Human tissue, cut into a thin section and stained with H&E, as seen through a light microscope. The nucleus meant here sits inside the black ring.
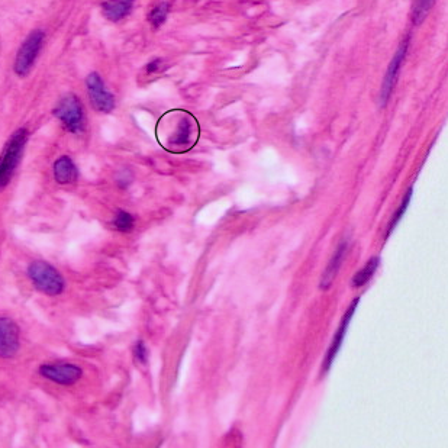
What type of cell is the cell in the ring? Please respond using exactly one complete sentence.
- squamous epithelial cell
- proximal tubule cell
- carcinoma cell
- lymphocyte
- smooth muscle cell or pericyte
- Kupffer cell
To be brief about it, the cell in the ring is a smooth muscle cell or pericyte.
